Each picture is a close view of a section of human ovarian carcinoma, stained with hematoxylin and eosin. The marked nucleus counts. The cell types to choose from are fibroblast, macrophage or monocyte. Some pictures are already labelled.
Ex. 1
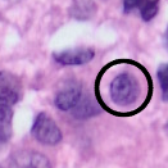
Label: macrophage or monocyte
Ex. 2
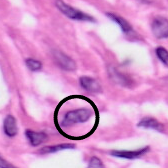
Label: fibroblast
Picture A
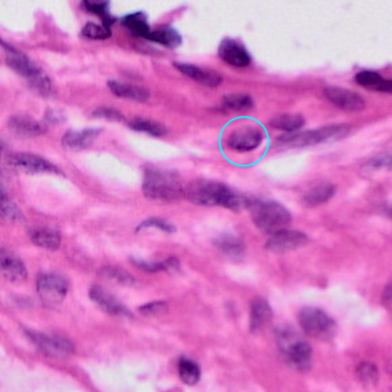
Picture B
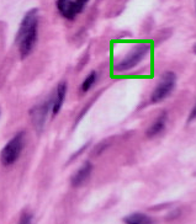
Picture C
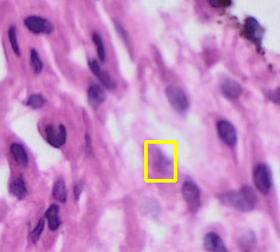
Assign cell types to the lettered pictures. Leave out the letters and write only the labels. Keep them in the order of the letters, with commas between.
fibroblast, fibroblast, fibroblast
